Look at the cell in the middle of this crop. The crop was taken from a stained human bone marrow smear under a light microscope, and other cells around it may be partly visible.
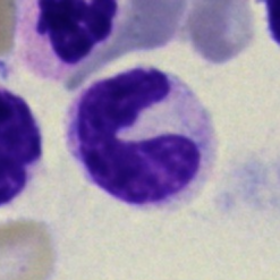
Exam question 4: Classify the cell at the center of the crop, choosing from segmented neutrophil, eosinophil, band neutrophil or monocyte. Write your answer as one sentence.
In short, the cell at the center is a band neutrophil.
